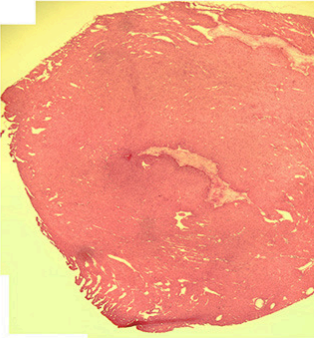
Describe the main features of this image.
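A thick, evenly stained myocardial wall surrounds an irregular central cavity. A narrower cavity runs along the upper part of the section beneath a thinner wall. Small pale spaces, probably vessels and clefts, are dotted through the muscle. Individual muscle cells cannot be distinguished; the picture shows only the overall layout of the walls and chambers.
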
